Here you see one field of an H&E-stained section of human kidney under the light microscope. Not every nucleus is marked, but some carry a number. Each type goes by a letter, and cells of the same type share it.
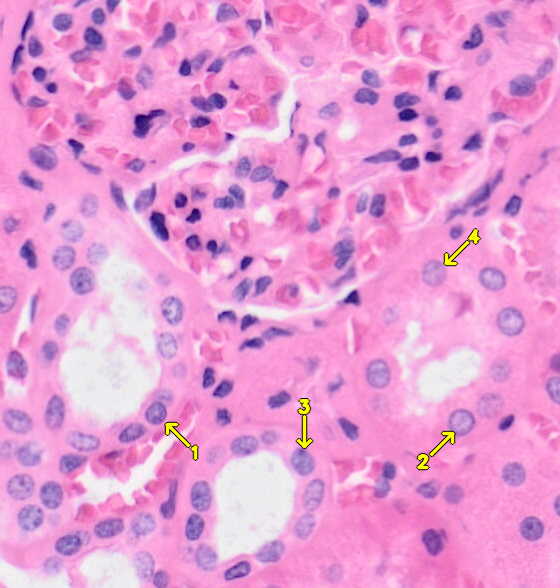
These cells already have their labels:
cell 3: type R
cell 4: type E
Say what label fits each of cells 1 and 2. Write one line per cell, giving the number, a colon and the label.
1: type R
2: type E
